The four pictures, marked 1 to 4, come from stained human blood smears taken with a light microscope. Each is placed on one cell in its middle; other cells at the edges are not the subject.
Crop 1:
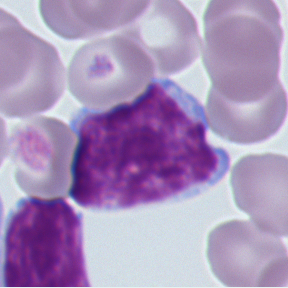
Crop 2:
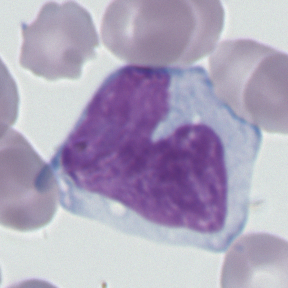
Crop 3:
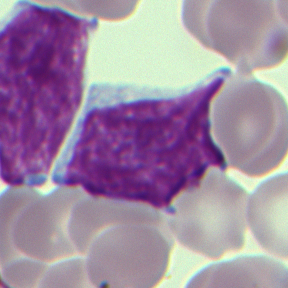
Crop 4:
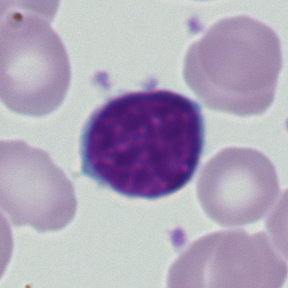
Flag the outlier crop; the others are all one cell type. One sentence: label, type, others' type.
Among the crops, crop 2 is unique in showing a myeloblast; the others show typical lymphocytes.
